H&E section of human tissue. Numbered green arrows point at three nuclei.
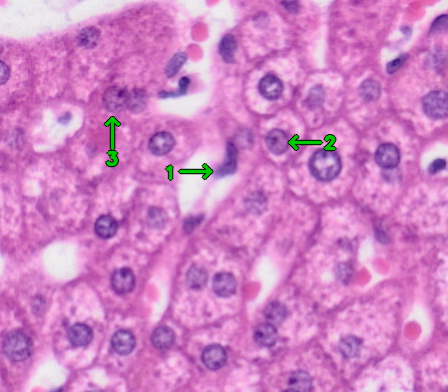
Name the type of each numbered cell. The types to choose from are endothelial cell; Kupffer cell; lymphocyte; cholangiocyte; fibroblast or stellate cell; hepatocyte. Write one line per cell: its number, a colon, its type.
1: Kupffer cell
2: hepatocyte
3: hepatocyte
